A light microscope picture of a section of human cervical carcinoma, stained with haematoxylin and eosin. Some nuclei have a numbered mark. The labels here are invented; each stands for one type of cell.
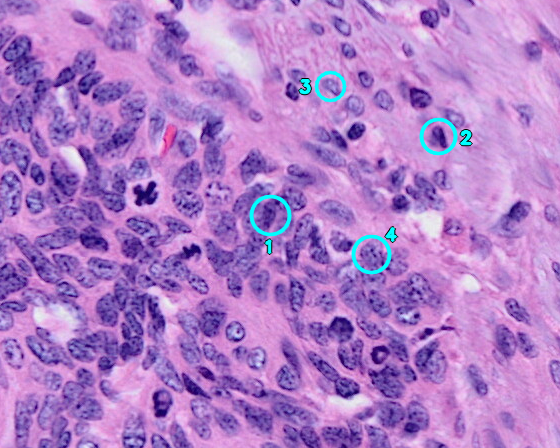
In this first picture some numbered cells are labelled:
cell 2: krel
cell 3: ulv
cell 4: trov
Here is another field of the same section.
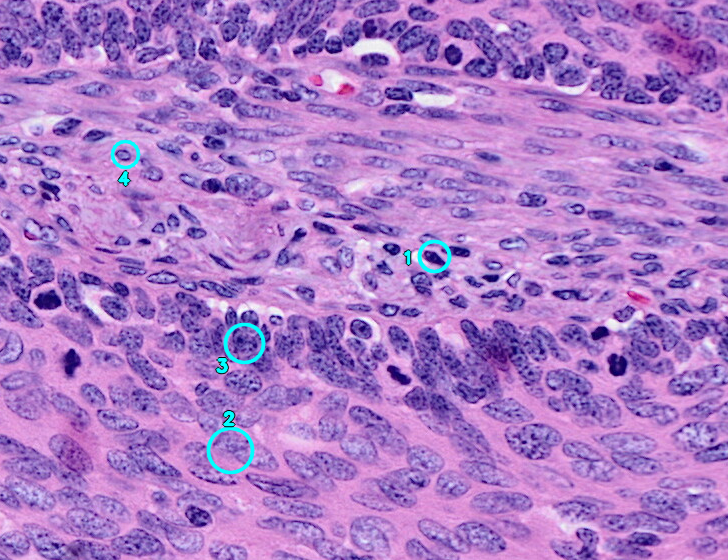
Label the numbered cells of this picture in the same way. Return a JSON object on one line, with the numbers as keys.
{"1": "krel", "2": "trov", "3": "trov", "4": "ulv"}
